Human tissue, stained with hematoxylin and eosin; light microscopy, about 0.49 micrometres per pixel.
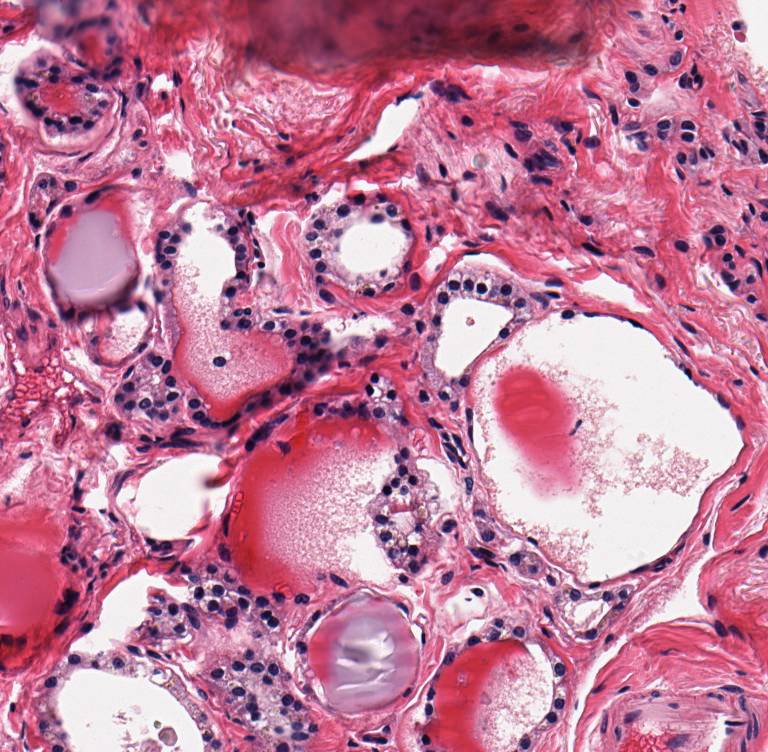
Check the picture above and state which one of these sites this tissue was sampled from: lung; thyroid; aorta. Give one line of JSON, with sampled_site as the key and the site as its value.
{"sampled_site": "thyroid"}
